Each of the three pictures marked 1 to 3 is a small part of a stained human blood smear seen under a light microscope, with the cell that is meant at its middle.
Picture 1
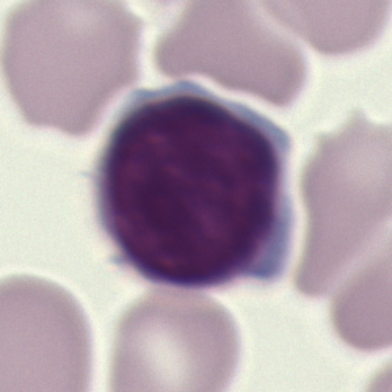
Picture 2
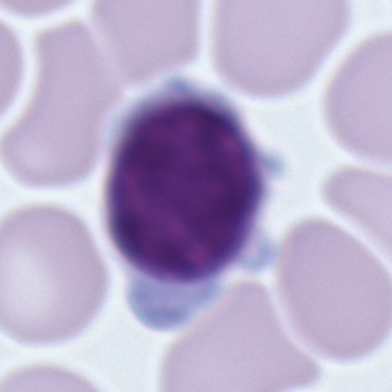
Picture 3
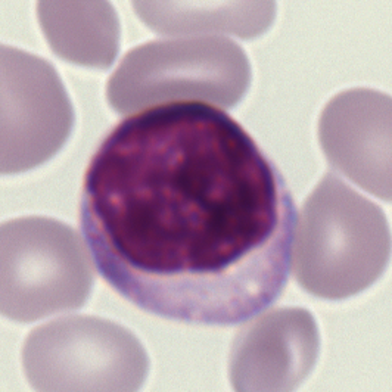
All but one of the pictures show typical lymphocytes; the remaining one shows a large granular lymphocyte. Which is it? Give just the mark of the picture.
3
